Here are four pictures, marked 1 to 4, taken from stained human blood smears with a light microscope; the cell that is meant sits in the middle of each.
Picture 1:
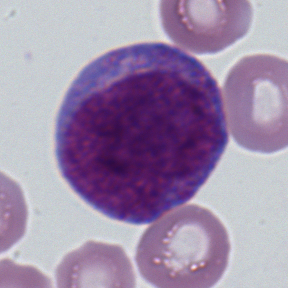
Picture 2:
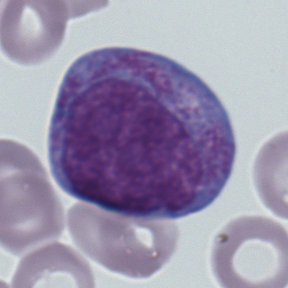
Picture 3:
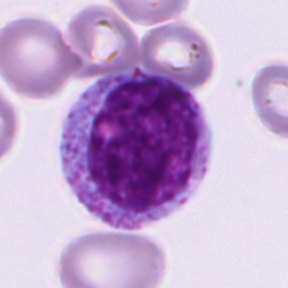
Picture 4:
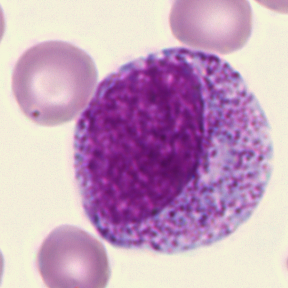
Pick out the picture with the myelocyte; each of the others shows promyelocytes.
3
